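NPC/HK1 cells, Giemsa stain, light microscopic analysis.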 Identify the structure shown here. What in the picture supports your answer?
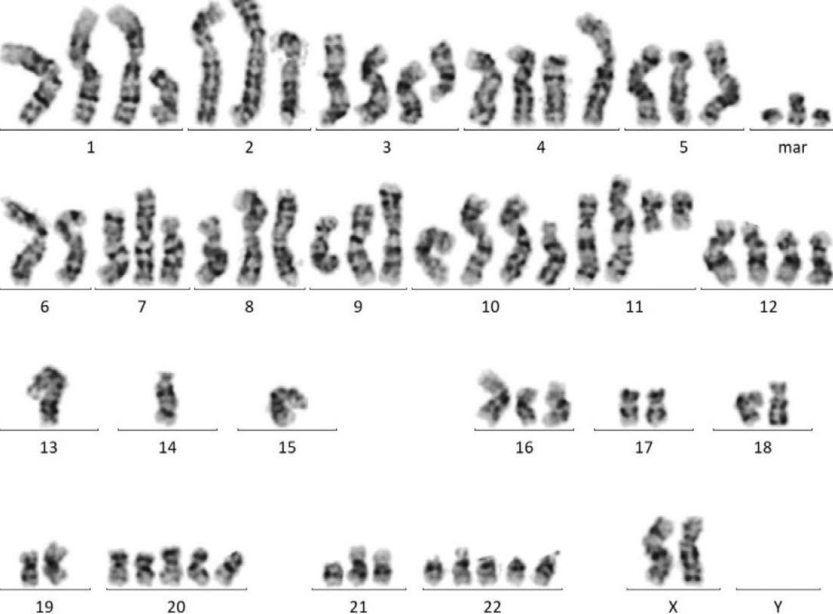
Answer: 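Karyogram. Banded chromosomes are cut out and arranged in numbered rows by size.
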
